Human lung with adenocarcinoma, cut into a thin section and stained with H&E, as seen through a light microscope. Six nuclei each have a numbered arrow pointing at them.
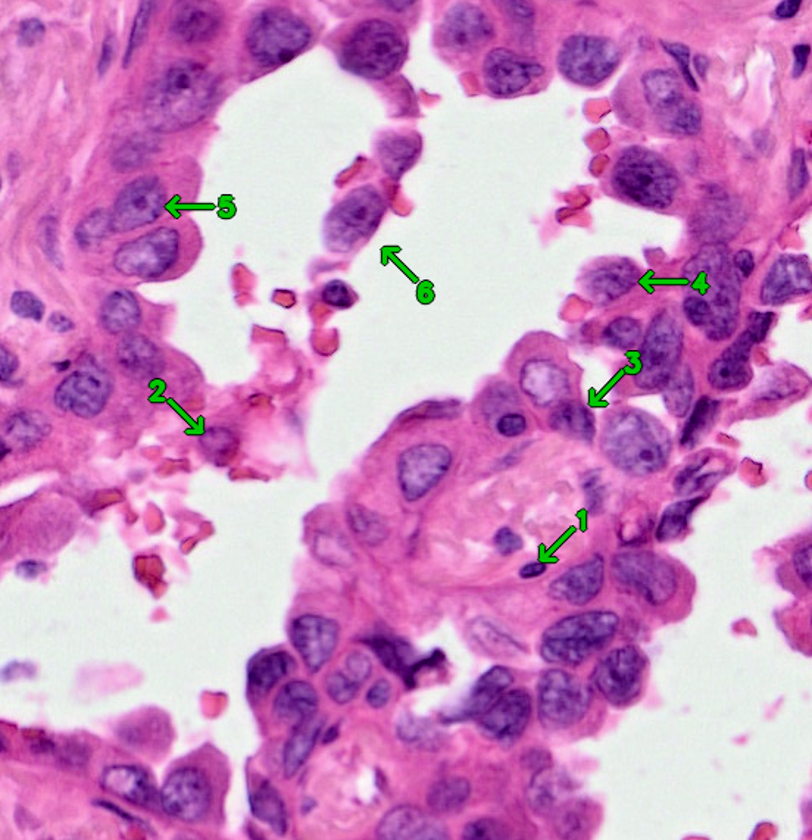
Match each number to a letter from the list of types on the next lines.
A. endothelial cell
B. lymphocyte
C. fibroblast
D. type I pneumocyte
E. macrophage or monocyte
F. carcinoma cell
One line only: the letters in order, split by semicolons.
B; E; F; F; F; F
